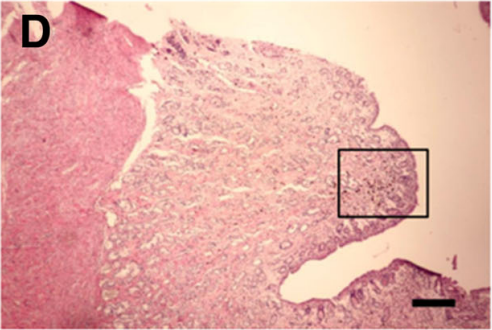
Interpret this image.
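This low-power section through the uterine wall shows dense muscle and a thick gland-rich mucosa facing a pale lumen. On the left lies a compact, evenly pink muscle layer. Toward the right the mucosa is crowded with small round and elongated glands in a looser stroma. It ends in a surface epithelium that borders a clear lumen, which runs as a white cleft into the tissue. Near the surface on the right, a boxed area contains a cluster of small dark brown spots within the mucosa.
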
